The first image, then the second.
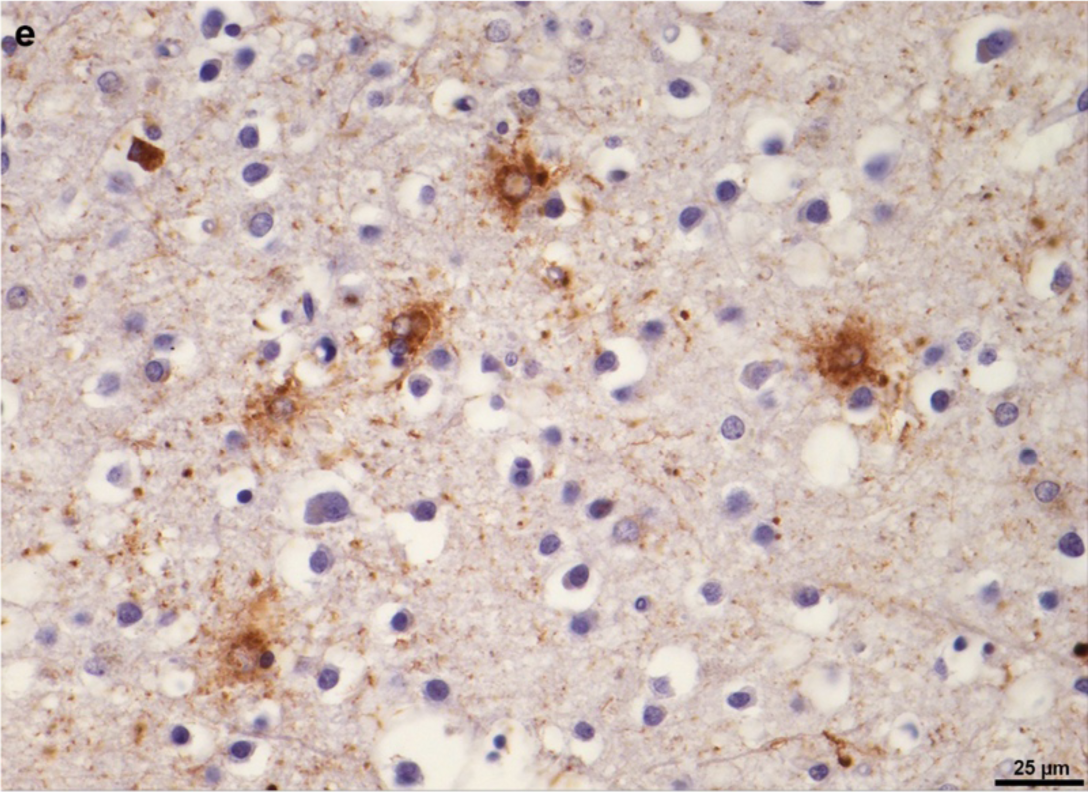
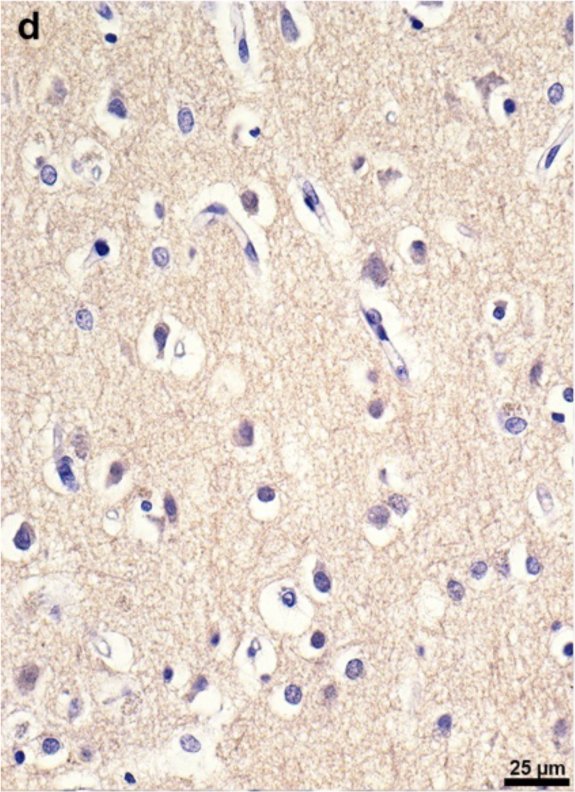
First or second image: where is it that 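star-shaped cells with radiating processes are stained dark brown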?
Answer: The first image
